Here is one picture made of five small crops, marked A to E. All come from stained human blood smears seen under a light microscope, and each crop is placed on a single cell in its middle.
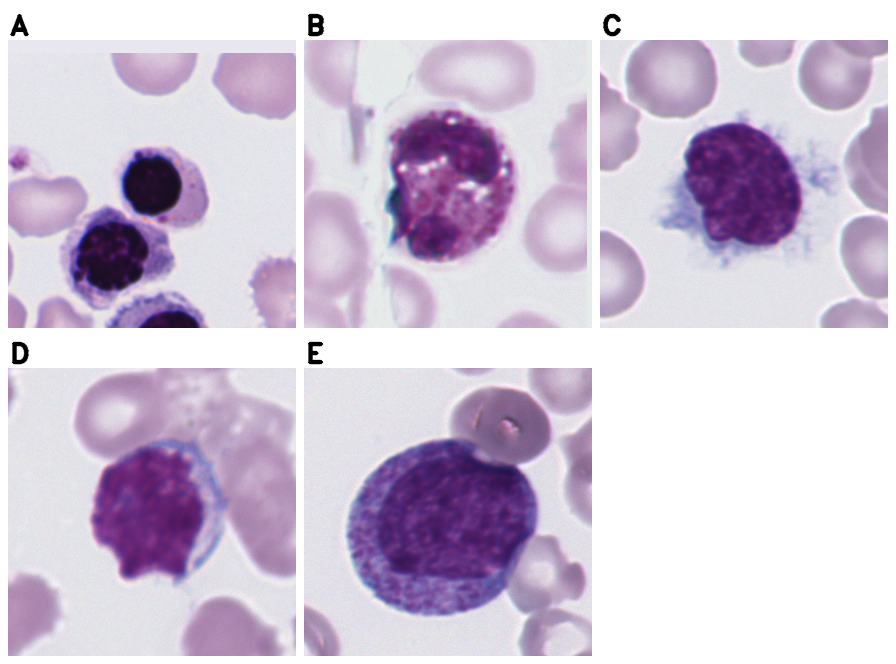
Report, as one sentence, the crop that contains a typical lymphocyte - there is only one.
Crop D is the single crop that shows a typical lymphocyte.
